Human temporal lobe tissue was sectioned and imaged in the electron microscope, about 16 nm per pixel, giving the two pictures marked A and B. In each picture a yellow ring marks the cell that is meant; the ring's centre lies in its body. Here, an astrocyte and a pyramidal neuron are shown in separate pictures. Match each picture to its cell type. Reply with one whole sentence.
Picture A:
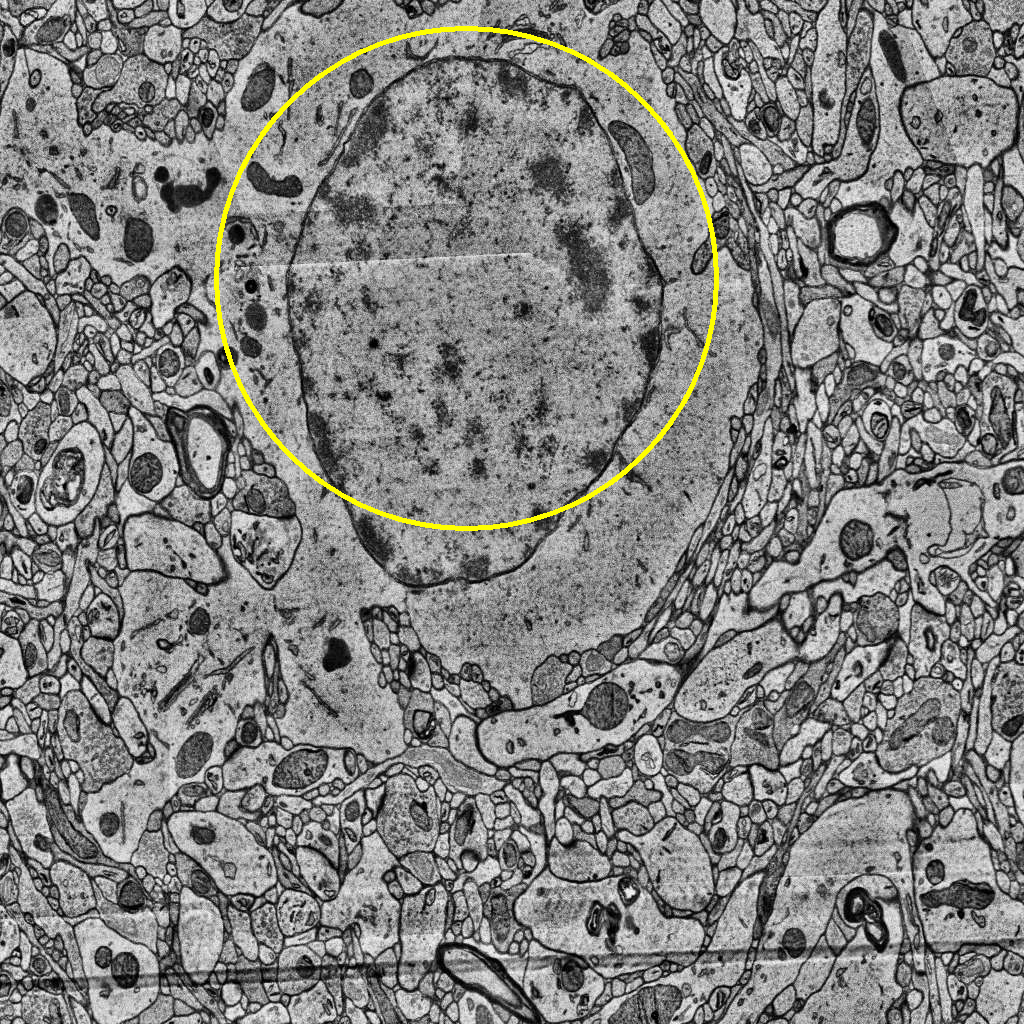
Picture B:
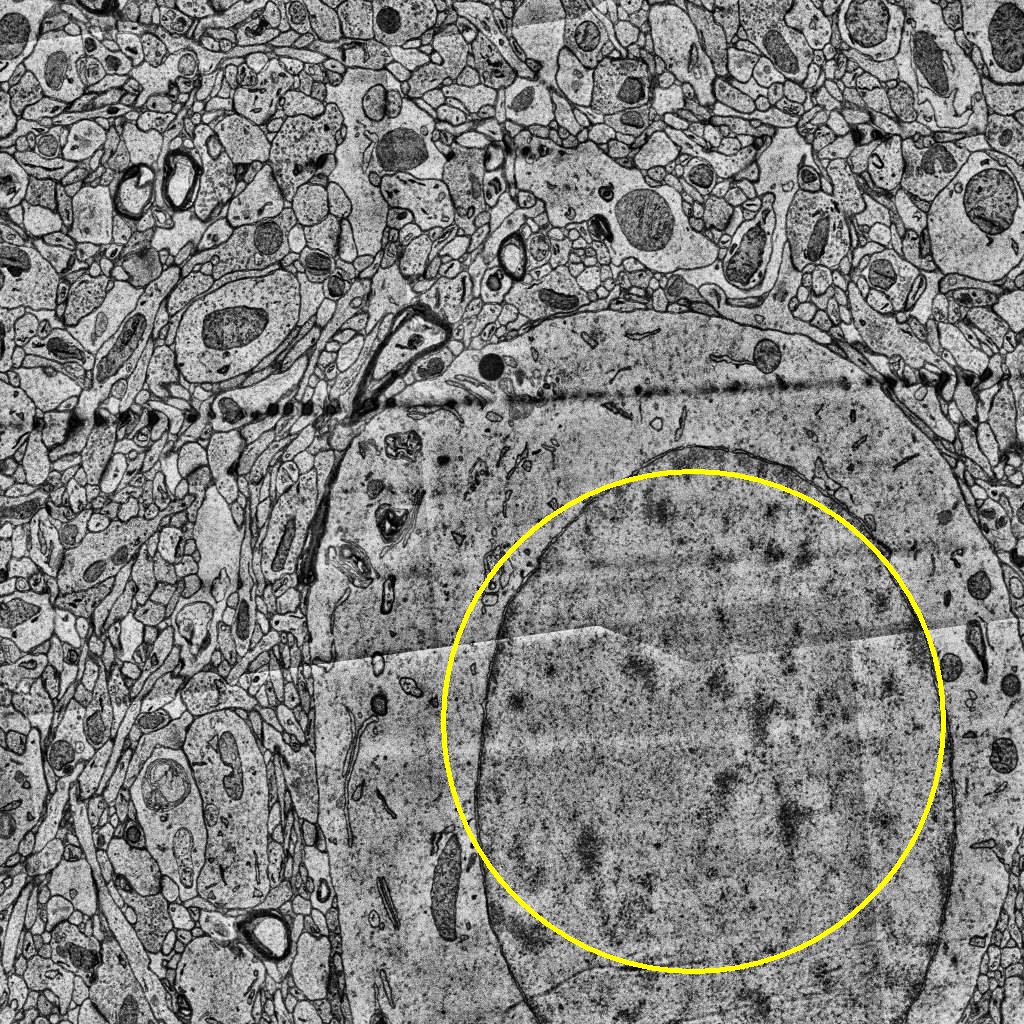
In picture A the cell is an astrocyte; in picture B, a pyramidal neuron.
